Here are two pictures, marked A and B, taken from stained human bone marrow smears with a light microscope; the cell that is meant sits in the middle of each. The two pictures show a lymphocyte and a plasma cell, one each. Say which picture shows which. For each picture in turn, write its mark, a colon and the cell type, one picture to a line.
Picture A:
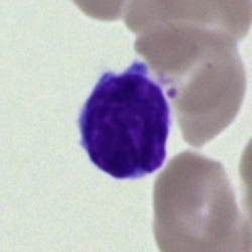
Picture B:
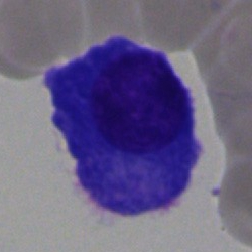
A: lymphocyte
B: plasma cell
